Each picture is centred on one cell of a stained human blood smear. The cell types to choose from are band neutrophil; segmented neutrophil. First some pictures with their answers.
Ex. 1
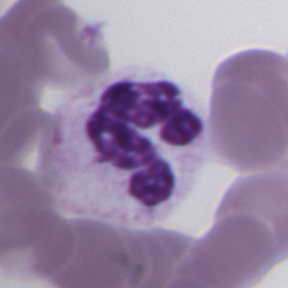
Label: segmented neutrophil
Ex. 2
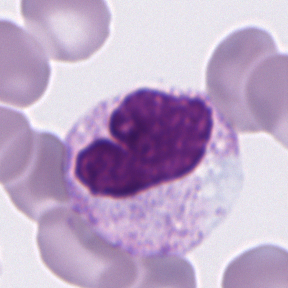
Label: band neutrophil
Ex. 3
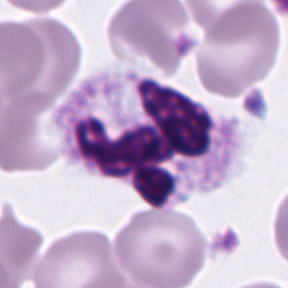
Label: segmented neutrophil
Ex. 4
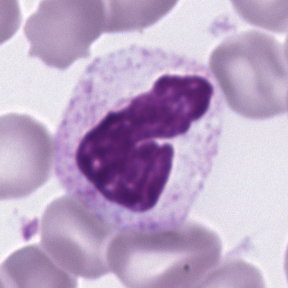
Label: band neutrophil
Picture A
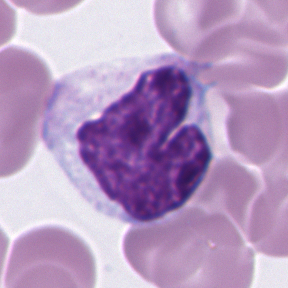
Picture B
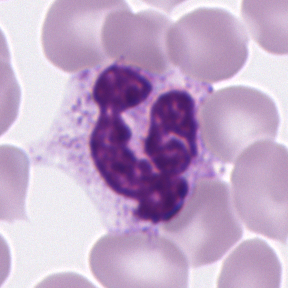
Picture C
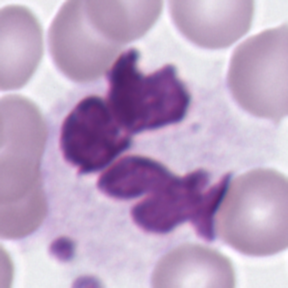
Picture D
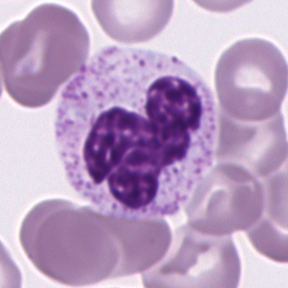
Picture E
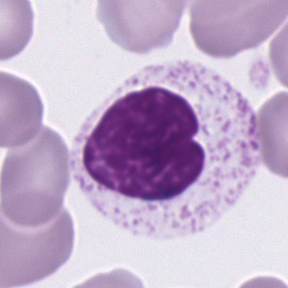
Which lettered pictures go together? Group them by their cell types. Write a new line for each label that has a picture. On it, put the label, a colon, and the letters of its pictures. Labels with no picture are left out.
band neutrophil: A
segmented neutrophil: B, C, D, E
